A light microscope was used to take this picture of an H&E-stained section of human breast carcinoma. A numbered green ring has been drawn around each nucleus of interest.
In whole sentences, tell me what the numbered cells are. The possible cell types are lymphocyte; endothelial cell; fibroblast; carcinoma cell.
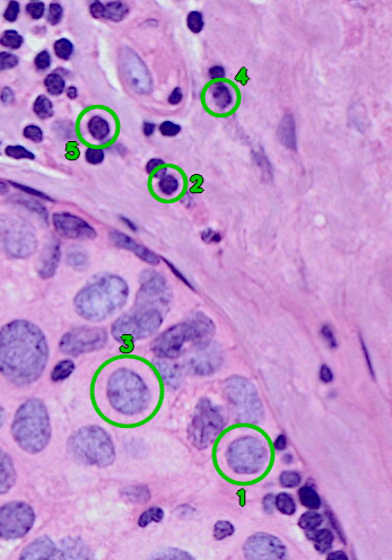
Cells 1 and 3 are carcinoma cells. Cells 2, 4 and 5 are lymphocytes.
